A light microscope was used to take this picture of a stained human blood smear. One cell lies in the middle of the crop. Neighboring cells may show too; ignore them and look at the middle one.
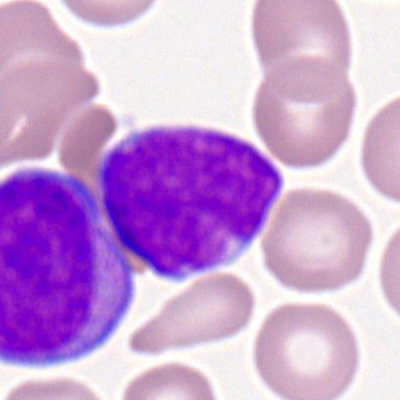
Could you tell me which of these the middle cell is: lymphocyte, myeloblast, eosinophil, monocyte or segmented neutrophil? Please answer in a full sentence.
The cell nearest the centre of this crop is a myeloblast.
